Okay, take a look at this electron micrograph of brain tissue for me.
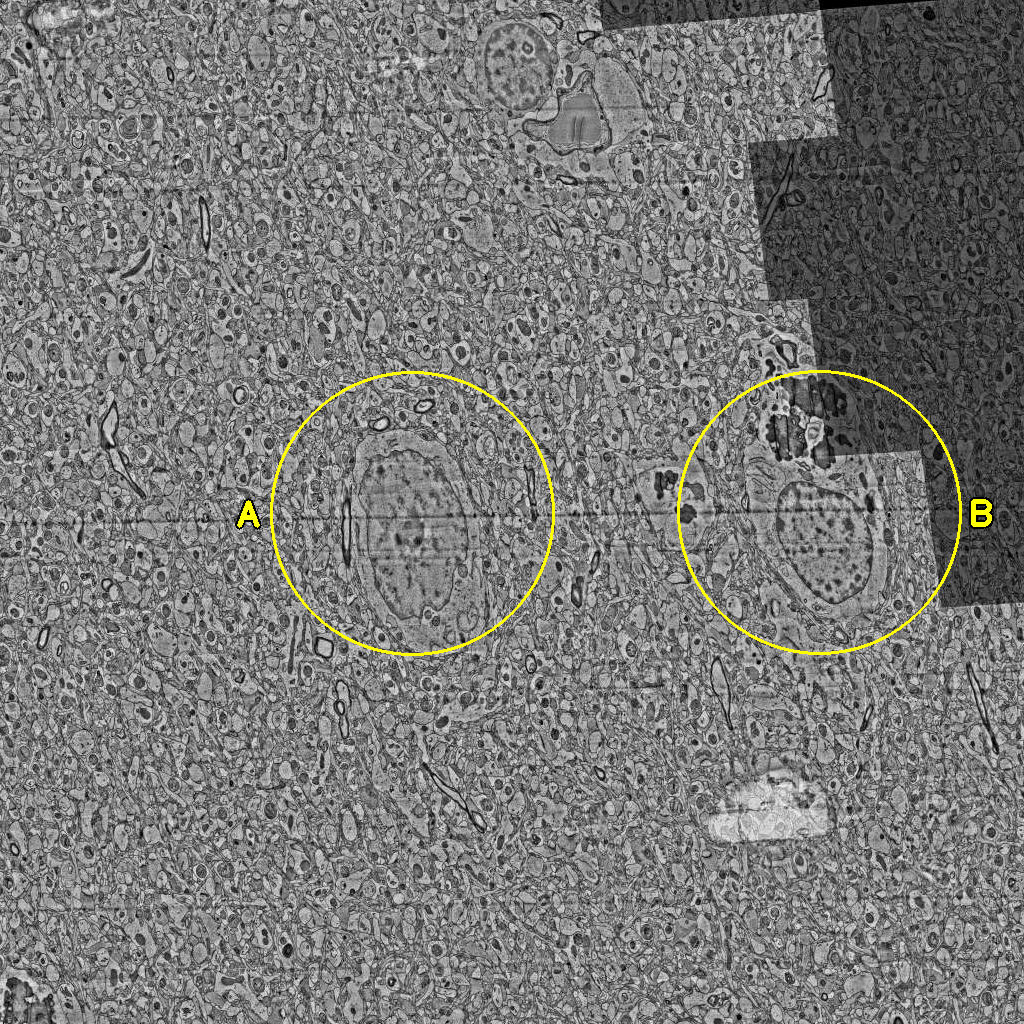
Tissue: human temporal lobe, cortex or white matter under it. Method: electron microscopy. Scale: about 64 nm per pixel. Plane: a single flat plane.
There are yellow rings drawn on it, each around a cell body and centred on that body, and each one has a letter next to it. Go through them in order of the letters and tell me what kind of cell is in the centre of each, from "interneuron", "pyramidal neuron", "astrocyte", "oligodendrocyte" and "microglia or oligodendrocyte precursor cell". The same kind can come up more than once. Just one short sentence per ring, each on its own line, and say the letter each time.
In the centre of ring A there's an interneuron.
In the centre of ring B there's an astrocyte.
